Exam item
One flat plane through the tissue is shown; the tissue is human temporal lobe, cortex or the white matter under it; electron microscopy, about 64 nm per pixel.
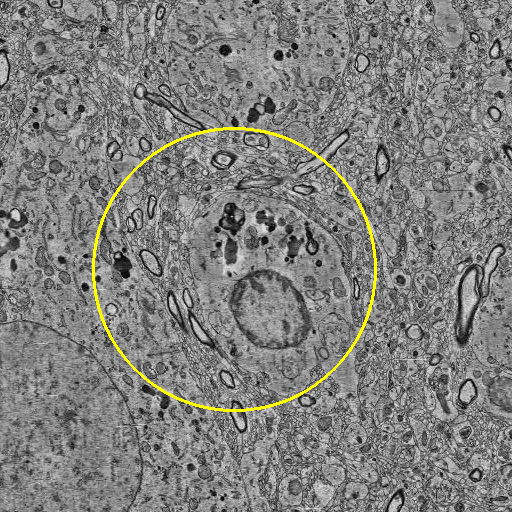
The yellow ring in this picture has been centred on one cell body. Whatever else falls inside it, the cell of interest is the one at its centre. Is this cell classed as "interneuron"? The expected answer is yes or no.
no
